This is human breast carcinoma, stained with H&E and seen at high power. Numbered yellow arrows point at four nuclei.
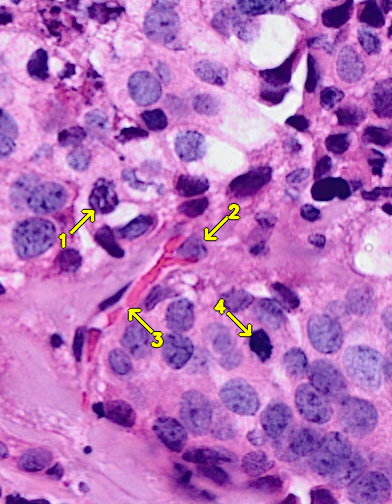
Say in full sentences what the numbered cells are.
Cells 1 and 4 are carcinoma cells. Cells 2 and 3 are endothelial cells.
